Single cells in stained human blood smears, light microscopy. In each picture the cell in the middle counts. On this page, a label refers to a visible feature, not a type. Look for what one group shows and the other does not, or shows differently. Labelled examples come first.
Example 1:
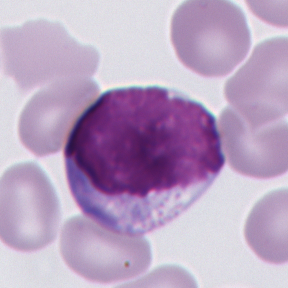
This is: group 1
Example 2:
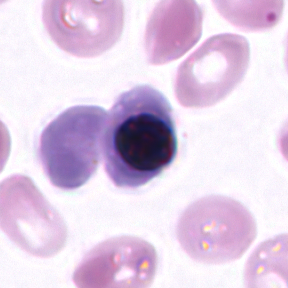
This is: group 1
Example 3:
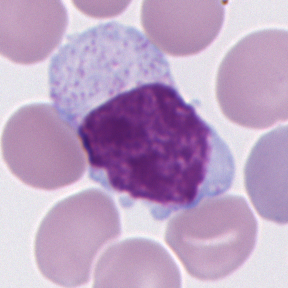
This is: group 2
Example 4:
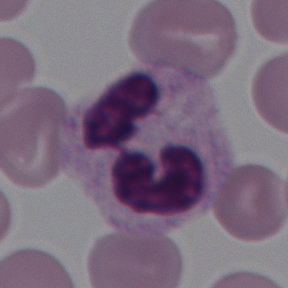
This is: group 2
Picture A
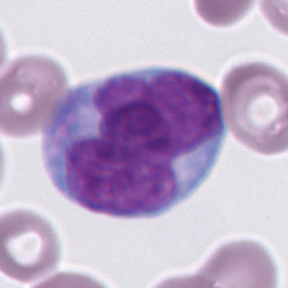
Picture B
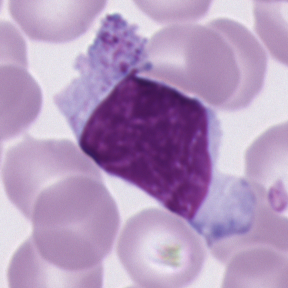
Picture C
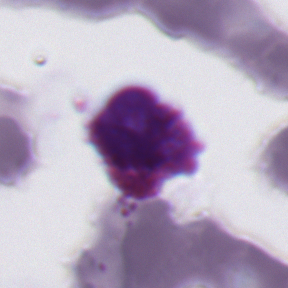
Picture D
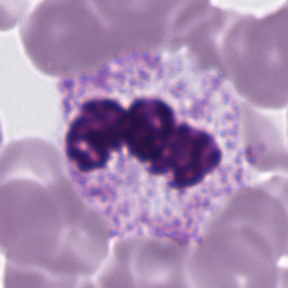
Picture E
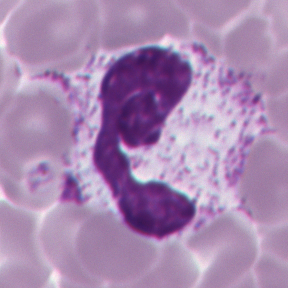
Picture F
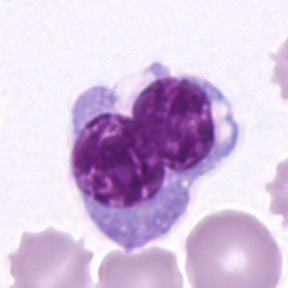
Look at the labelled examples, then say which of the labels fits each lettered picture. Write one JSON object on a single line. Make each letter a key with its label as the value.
{"A": "group 1", "B": "group 2", "C": "group 2", "D": "group 2", "E": "group 2", "F": "group 2"}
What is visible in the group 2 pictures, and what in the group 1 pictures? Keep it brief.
group 2: ragged outline or projections; group 1: smooth outline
